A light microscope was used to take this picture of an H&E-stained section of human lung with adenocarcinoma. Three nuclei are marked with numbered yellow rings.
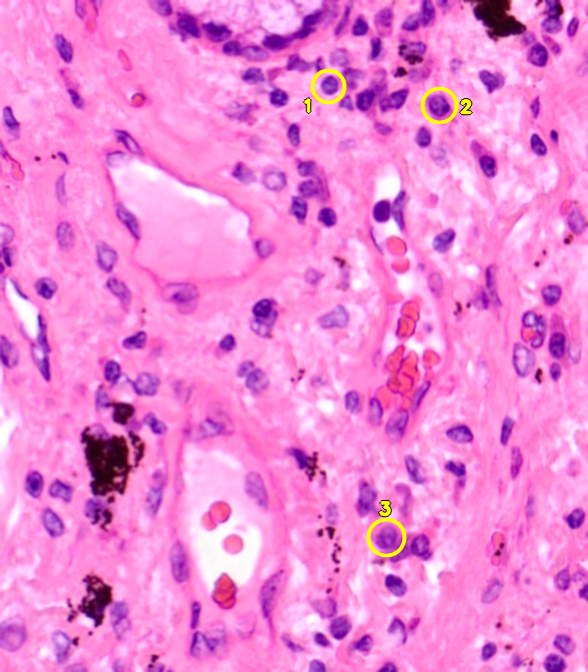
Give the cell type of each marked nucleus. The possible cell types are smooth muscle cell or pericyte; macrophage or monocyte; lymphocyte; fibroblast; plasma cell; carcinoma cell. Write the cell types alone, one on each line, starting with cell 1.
lymphocyte
plasma cell
plasma cell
